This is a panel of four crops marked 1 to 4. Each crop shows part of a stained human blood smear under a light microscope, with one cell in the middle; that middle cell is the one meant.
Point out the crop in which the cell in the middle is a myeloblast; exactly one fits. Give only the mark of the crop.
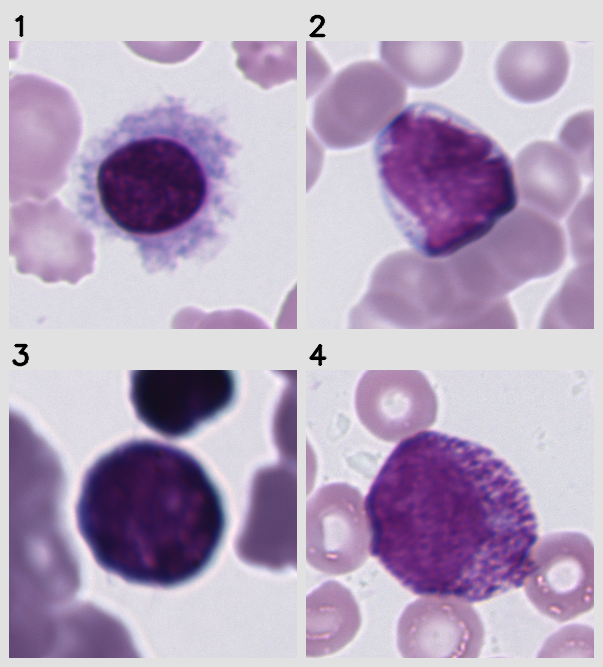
3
